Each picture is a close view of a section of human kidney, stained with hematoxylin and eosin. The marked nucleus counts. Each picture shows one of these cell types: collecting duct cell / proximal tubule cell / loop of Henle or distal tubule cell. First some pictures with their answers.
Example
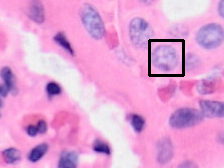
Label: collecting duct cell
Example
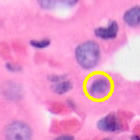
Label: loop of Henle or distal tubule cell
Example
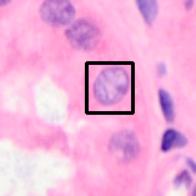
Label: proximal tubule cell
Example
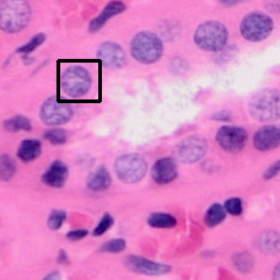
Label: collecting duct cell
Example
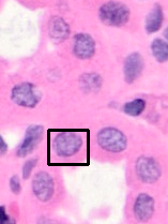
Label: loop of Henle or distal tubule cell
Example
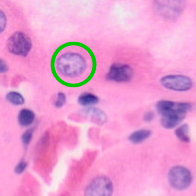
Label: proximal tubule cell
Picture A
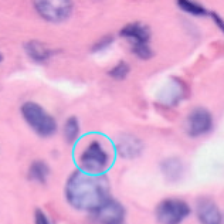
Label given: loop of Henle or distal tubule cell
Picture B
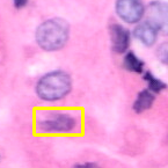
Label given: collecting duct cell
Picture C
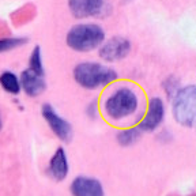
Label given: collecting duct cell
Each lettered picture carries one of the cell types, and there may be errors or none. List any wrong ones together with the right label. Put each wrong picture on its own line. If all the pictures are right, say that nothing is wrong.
A: collecting duct cell, not loop of Henle or distal tubule cell
B: proximal tubule cell, not collecting duct cell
